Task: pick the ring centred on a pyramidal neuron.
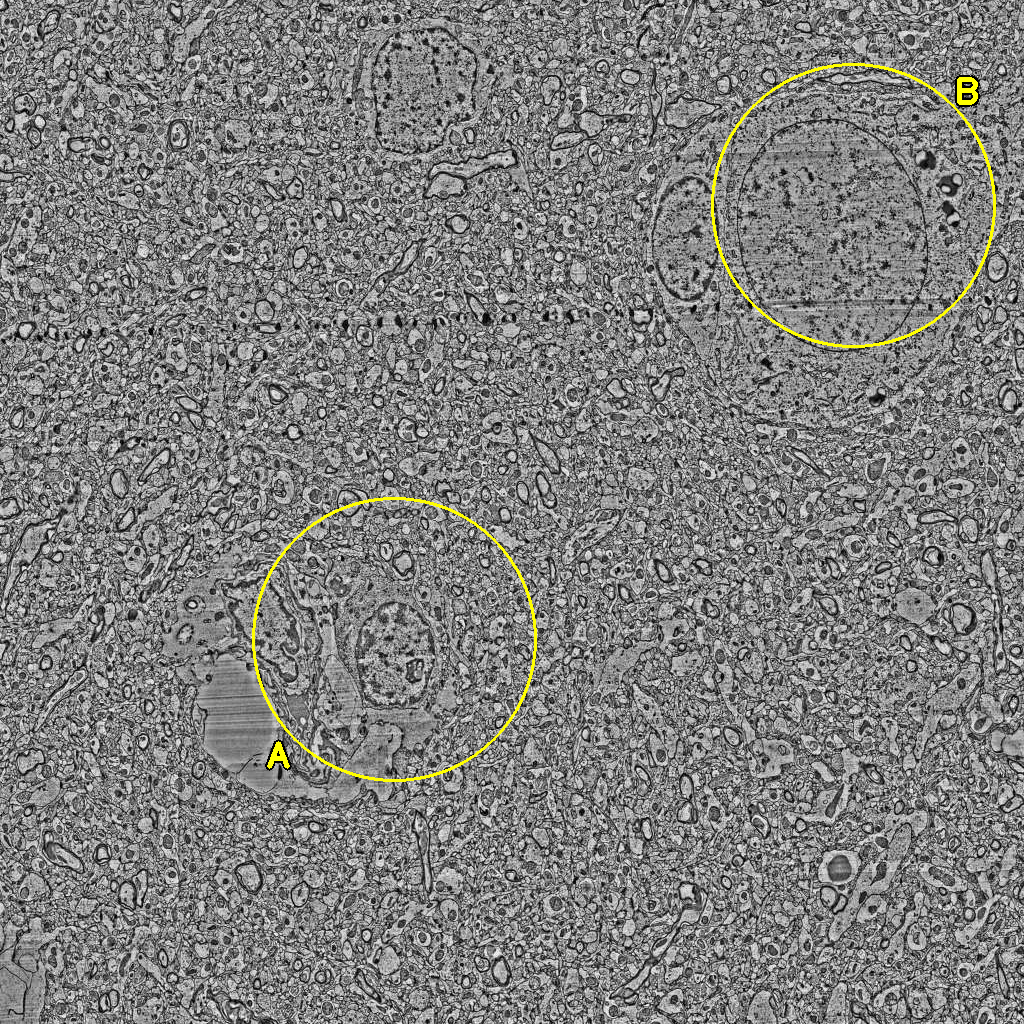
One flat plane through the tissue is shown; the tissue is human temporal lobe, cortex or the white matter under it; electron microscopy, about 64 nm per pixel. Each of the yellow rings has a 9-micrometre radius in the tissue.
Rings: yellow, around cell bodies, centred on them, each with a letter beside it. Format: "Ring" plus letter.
Ring B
